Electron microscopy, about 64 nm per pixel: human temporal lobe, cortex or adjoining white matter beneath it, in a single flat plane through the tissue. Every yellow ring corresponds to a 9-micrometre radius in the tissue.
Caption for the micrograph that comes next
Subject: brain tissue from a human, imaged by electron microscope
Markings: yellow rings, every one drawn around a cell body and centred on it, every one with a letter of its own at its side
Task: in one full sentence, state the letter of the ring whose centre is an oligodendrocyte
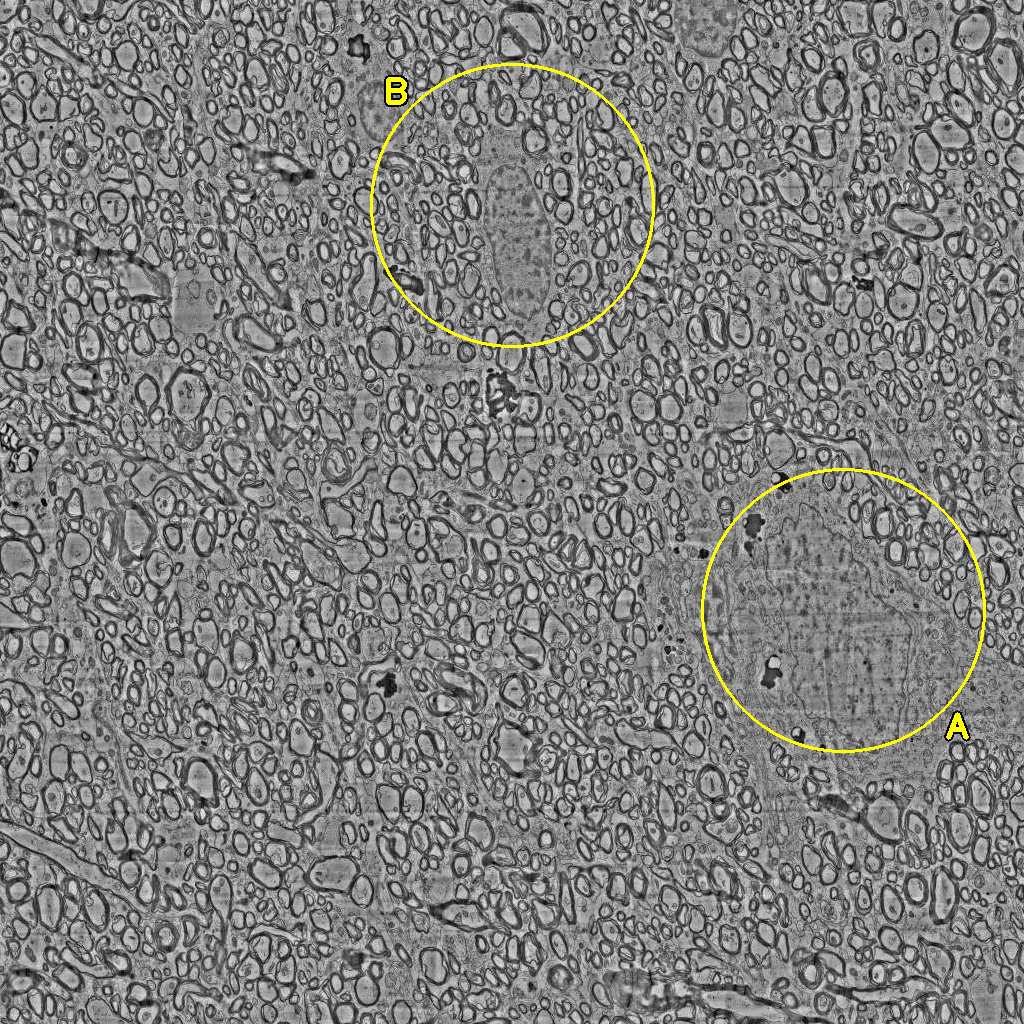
The ring centred on the cell asked for in this micrograph carries the letter B.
